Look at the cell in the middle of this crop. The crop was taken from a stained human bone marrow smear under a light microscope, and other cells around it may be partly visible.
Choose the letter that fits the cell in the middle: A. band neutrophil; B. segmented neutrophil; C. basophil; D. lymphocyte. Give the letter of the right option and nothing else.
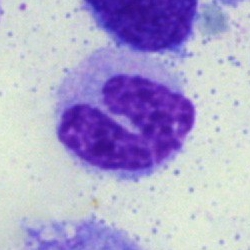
A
